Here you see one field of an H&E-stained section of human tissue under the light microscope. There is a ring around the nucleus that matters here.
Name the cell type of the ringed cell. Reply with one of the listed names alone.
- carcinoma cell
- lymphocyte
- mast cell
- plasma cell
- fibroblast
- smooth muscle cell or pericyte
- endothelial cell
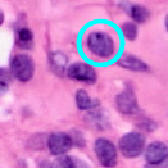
mast cell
